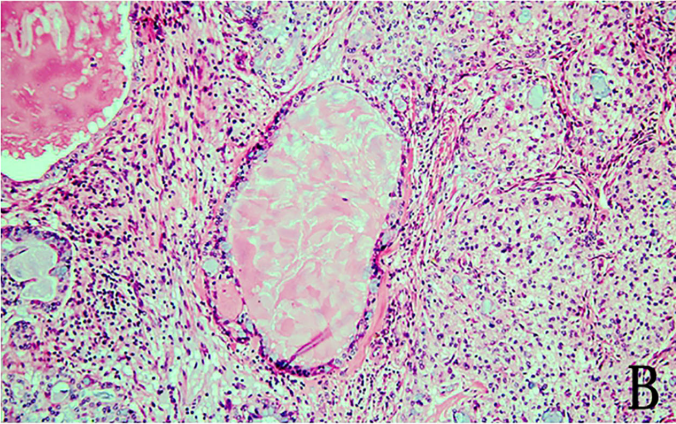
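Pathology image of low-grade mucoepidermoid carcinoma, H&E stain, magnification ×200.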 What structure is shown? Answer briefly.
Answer: adenoid structures with a lumen filled with mucus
